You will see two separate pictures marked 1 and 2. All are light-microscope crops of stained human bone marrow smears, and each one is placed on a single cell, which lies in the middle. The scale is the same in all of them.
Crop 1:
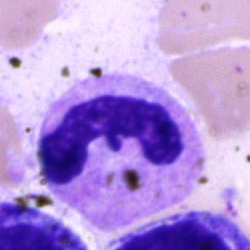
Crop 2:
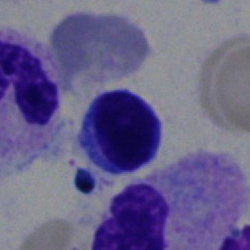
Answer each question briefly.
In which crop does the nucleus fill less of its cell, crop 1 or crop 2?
1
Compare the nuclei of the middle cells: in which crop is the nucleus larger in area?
1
